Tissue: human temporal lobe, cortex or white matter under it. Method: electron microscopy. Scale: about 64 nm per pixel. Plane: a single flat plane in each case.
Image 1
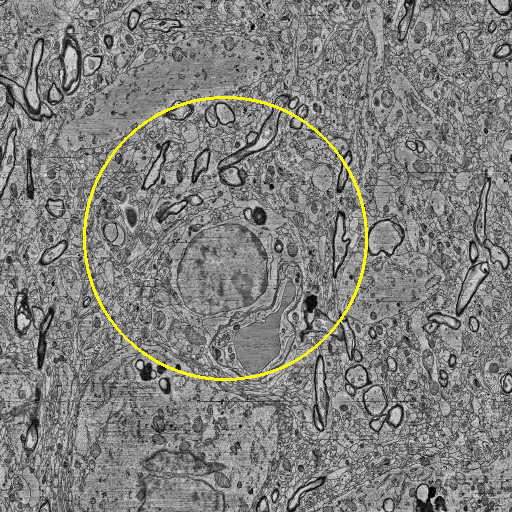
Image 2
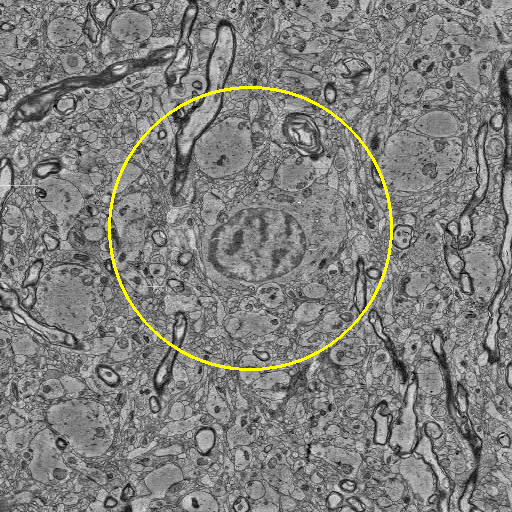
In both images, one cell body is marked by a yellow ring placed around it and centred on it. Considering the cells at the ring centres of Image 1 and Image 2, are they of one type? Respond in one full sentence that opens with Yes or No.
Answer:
No, two types apply to the ring-centred cells of Image 1 and Image 2.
